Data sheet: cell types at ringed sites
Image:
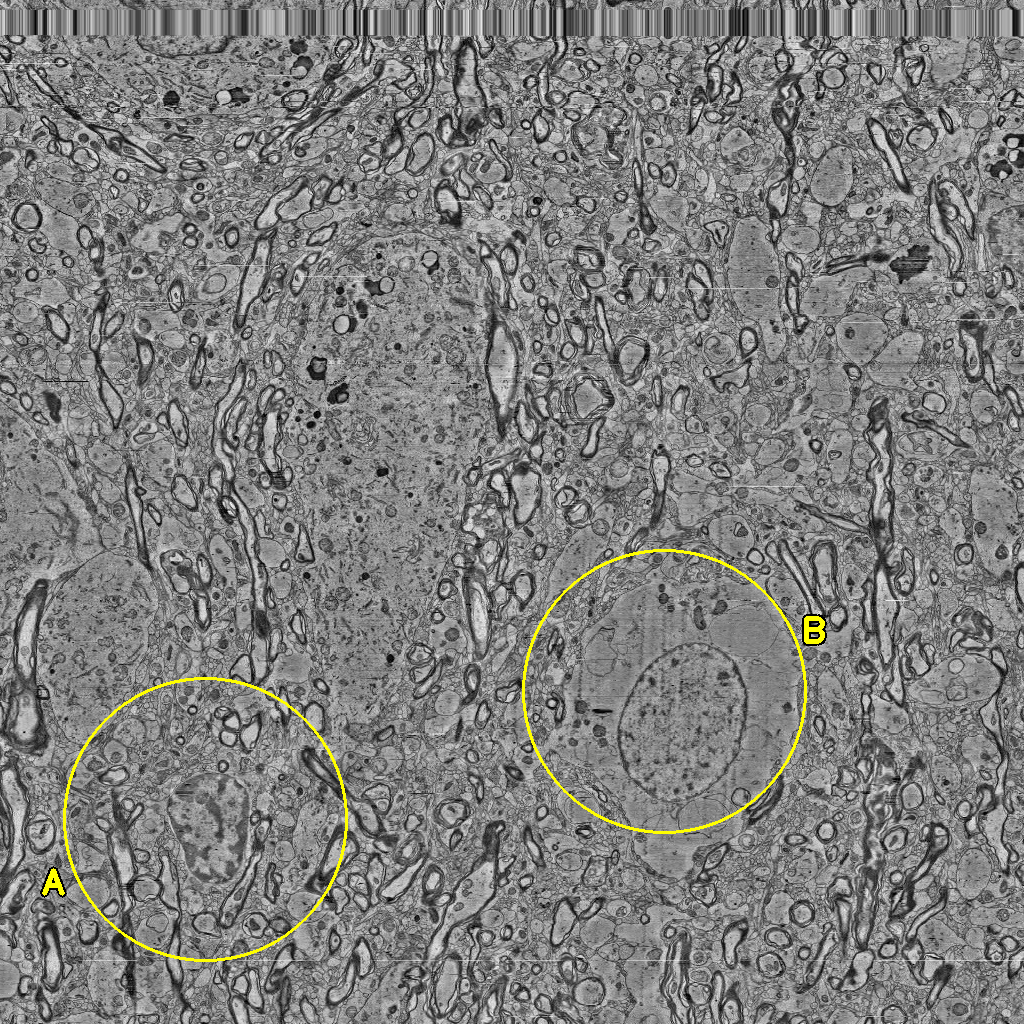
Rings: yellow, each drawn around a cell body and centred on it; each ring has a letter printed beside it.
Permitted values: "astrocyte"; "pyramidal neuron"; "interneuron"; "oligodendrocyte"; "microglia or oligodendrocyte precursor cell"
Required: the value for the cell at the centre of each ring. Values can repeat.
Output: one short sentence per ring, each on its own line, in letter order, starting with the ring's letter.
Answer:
Ring A has a microglial cell or oligodendrocyte precursor cell at its centre.
Ring B has an astrocyte at its centre.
